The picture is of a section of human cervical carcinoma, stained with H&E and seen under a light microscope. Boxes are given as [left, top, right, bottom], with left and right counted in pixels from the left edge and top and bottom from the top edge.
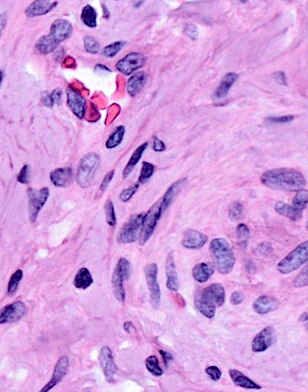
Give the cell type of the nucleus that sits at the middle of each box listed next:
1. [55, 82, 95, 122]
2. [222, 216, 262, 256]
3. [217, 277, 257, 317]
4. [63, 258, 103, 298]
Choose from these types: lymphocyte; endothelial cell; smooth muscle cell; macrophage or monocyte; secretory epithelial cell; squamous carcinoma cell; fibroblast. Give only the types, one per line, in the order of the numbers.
endothelial cell
smooth muscle cell
smooth muscle cell
lymphocyte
